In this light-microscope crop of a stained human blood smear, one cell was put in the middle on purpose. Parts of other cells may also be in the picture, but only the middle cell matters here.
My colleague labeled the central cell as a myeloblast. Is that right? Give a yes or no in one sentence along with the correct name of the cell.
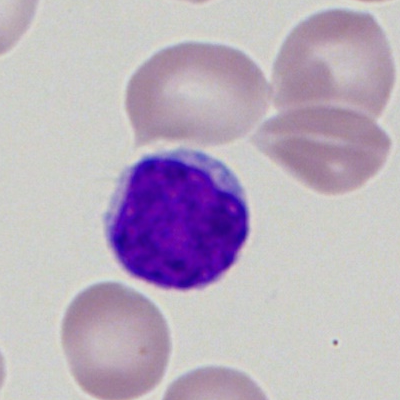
No, the central cell in this crop is a lymphocyte and not a myeloblast.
